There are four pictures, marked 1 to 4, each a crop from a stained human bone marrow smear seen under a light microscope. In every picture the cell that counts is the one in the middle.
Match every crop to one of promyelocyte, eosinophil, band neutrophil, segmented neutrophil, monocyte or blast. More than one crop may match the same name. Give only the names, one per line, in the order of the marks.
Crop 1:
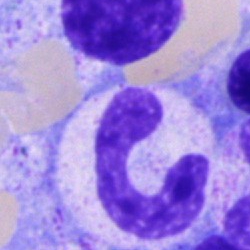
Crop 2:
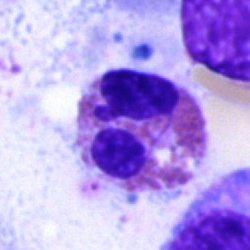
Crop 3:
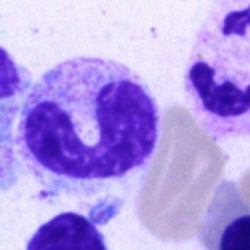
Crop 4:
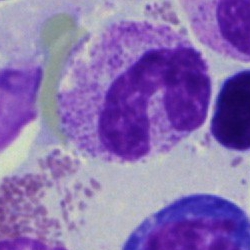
band neutrophil
eosinophil
band neutrophil
band neutrophil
